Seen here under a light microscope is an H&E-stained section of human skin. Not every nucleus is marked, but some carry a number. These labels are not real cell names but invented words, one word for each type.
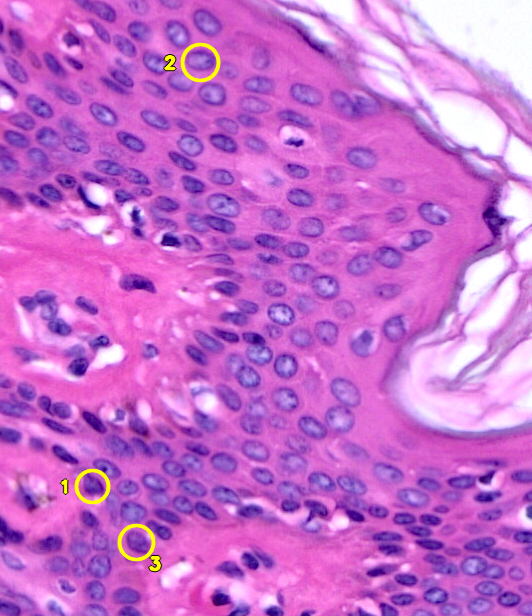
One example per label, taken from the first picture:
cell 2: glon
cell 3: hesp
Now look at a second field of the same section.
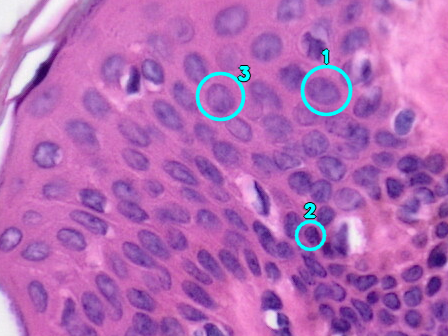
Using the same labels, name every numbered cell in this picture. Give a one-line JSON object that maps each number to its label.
{"1": "hesp", "2": "hesp", "3": "glon"}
